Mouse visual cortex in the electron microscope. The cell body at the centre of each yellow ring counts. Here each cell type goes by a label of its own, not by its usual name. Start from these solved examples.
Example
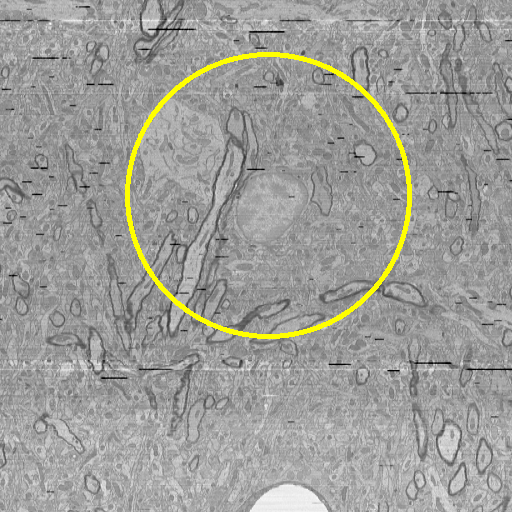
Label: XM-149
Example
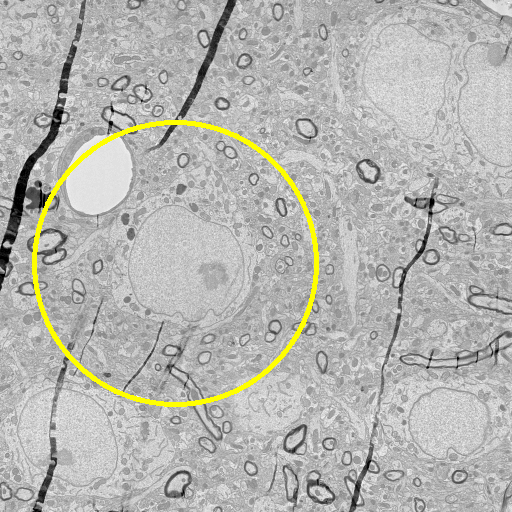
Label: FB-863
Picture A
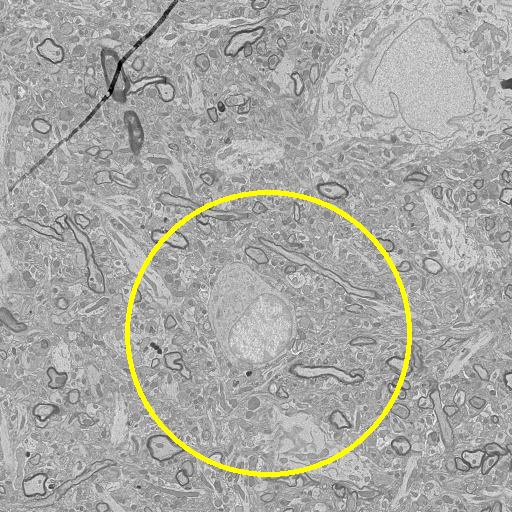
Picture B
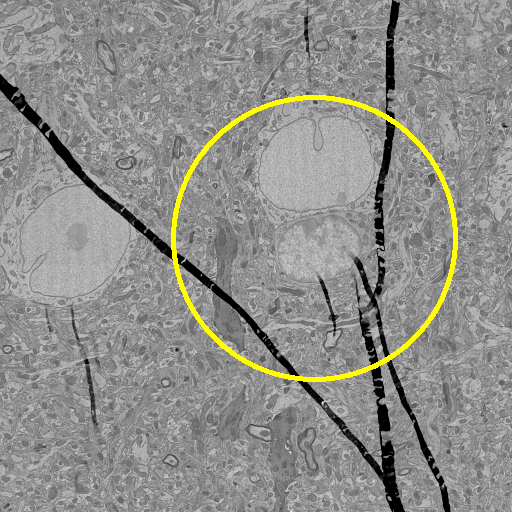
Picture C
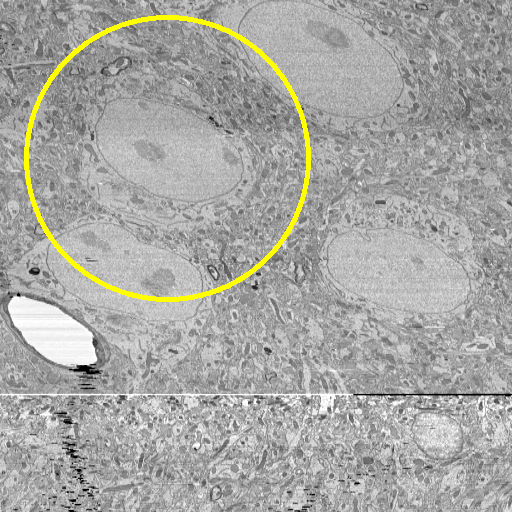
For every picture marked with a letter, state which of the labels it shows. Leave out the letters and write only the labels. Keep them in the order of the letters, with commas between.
XM-149, XM-149, FB-863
